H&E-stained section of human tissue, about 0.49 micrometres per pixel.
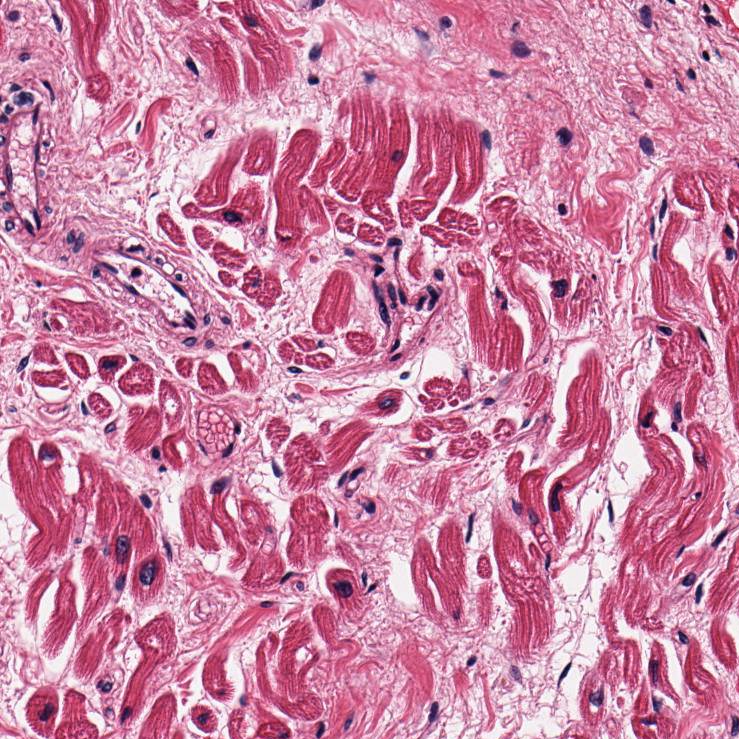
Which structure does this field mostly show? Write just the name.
myocardium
